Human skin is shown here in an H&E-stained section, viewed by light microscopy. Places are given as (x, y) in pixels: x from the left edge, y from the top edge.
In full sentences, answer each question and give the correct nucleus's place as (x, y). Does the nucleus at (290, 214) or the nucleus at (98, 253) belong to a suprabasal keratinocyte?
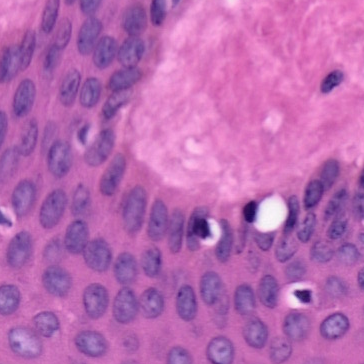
The nucleus belonging to a suprabasal keratinocyte is the one at (98, 253).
